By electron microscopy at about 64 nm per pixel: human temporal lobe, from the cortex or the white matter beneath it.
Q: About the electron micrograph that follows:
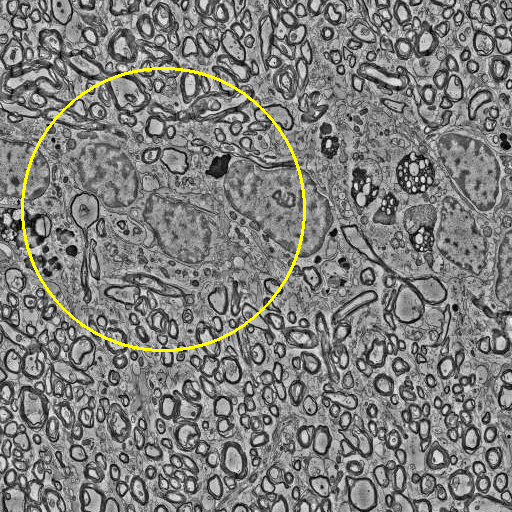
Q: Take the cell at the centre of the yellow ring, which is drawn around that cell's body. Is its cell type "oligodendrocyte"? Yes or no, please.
Yes, its type is that one.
